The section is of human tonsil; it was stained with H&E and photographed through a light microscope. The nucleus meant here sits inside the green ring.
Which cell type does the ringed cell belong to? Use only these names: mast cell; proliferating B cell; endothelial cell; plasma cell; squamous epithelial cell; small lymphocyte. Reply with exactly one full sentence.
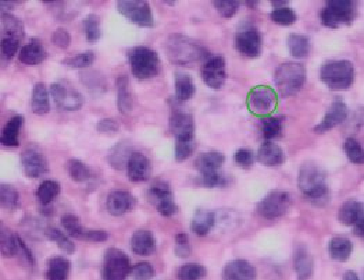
The expected answer is simply that the ringed cell is a proliferating B cell.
